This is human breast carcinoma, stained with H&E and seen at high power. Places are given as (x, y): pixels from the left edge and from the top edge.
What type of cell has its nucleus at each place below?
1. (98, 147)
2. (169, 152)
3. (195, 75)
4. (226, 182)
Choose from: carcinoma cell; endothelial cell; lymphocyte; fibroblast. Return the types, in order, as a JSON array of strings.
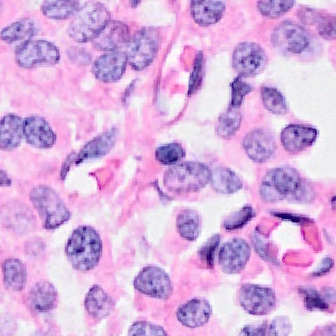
["endothelial cell", "lymphocyte", "endothelial cell", "carcinoma cell"]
